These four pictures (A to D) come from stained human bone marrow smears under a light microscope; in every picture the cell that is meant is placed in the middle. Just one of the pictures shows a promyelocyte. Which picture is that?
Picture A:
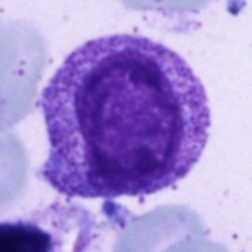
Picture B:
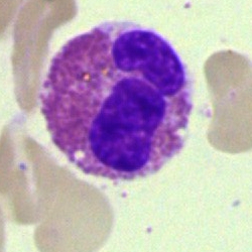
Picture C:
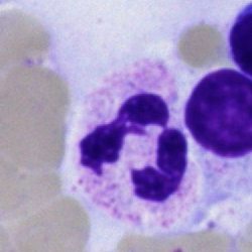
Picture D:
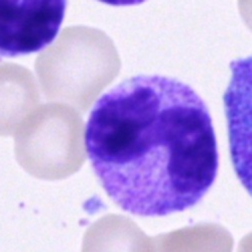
A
